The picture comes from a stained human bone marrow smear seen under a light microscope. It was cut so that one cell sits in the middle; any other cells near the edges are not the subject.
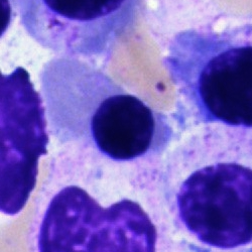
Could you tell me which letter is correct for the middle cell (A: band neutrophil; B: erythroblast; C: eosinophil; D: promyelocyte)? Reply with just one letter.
B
